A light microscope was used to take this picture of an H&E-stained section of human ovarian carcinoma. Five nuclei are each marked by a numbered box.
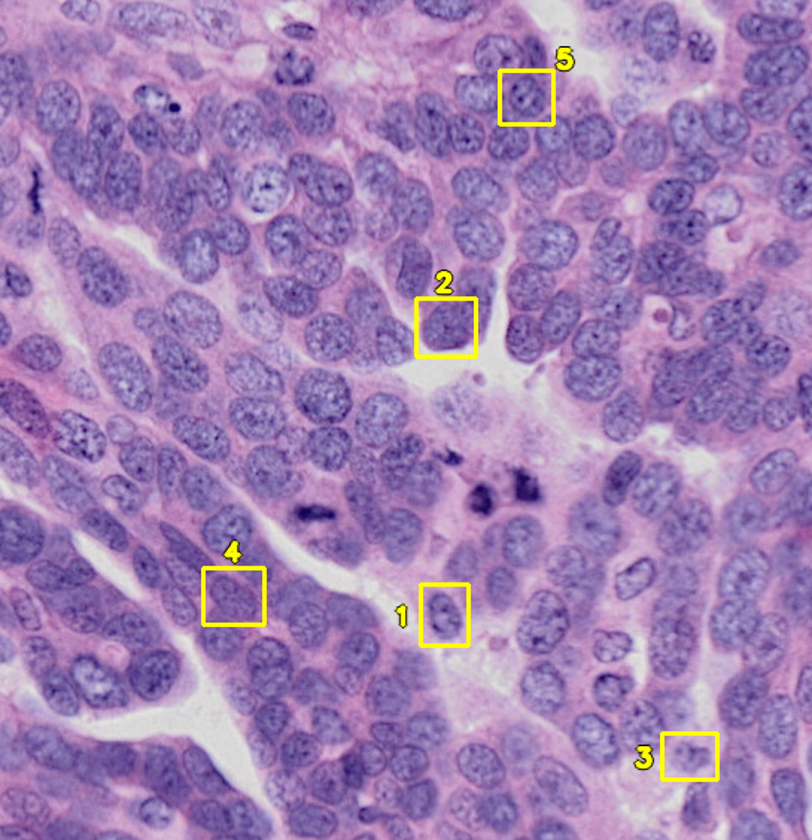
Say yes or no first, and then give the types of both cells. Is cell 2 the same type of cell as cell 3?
No, cell 2 should be called a carcinoma cell, and cell 3 should be called a macrophage or monocyte.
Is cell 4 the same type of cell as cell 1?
No, the identities are a carcinoma cell for cell 4 and a macrophage or monocyte for cell 1.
